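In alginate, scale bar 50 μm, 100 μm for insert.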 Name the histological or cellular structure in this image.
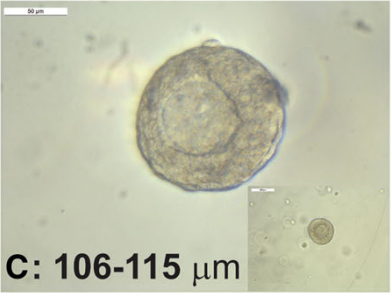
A: Follicles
